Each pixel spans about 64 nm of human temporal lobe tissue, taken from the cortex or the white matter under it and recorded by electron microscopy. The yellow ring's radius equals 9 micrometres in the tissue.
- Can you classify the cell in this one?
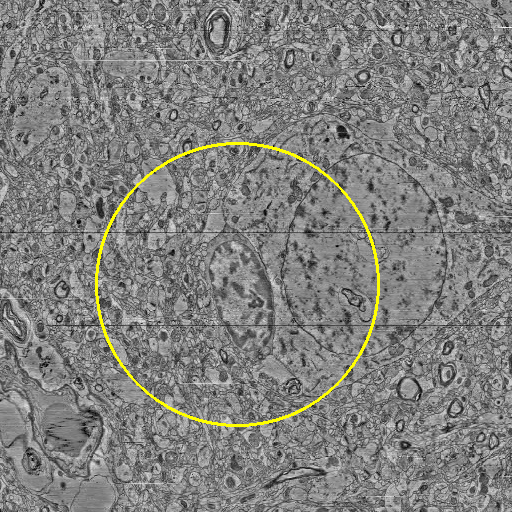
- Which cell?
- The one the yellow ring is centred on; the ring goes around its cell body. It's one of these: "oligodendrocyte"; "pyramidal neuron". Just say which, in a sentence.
The cell body in the ring belongs to an oligodendrocyte.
